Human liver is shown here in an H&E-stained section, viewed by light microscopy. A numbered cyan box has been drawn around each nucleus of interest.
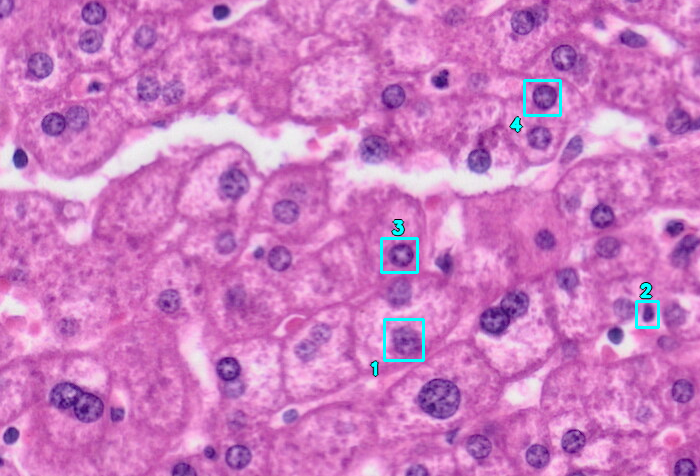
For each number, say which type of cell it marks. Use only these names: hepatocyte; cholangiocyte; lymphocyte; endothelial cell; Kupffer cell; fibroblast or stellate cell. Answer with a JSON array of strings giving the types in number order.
["hepatocyte", "lymphocyte", "hepatocyte", "hepatocyte"]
